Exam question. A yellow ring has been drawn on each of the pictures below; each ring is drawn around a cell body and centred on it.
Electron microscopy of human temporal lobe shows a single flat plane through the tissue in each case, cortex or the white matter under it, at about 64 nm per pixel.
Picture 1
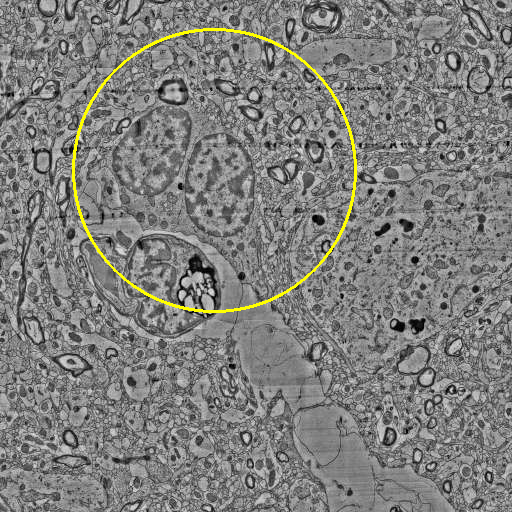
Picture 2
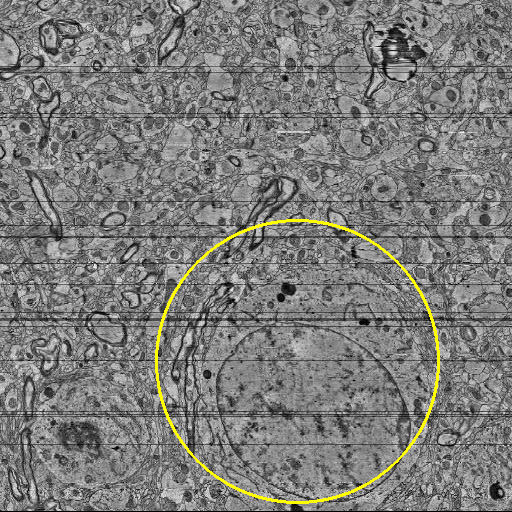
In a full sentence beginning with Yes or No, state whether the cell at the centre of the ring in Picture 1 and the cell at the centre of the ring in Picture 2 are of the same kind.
No, the cells are of two kinds.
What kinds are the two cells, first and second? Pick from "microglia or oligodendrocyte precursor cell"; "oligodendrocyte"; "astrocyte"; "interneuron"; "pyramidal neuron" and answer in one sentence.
The second picture holds a pyramidal neuron in its ring, and the first holds an oligodendrocyte.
